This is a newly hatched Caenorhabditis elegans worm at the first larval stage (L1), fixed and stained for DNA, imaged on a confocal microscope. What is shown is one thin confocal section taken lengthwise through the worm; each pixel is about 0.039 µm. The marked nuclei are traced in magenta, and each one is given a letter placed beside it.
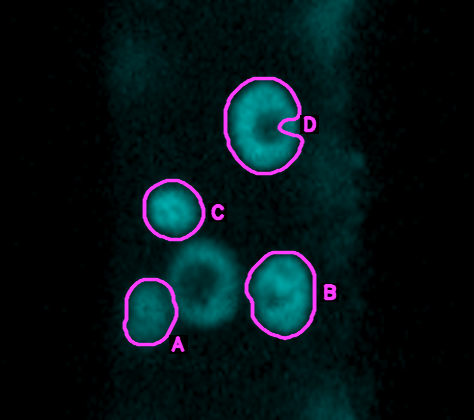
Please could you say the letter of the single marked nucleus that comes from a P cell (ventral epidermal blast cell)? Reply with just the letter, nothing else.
B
